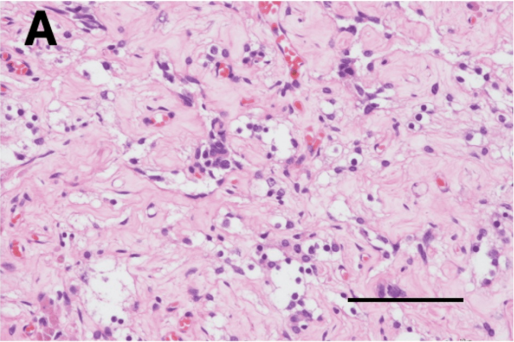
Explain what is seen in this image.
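Tumor tissue with cells arranged in small clusters within an abundant pink, fibrillary to hyaline-looking stroma. Many tumor cells have clear, pale or vacuolated cytoplasm. Their nuclei are round to oval and stain dark purple, some appearing enlarged. Small groups of cells form nests, some around small spaces. Thin-walled vessels containing red blood cells run between the clusters.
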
